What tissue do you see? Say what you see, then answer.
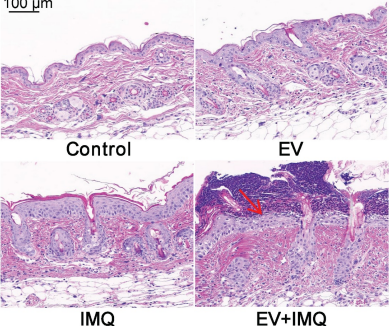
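Skin. A surface layer of stratified, purple-nucleated epithelium lies over pink fibrous connective tissue. Hair follicles extend down from the surface into the connective tissue. Clear rounded fat cells lie beneath the connective tissue.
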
